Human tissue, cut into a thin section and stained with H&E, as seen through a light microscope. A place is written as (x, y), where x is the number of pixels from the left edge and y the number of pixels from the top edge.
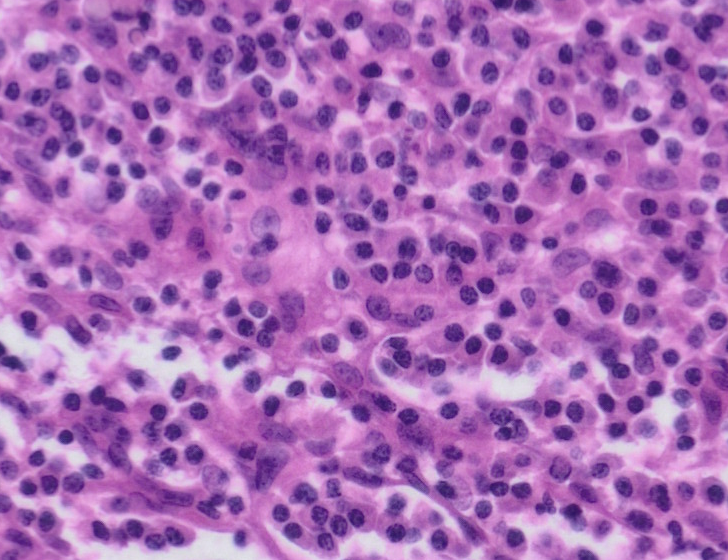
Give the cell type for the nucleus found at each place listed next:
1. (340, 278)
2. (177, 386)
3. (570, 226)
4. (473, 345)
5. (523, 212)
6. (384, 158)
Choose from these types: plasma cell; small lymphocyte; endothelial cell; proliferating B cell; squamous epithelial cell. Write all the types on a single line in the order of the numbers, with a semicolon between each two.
squamous epithelial cell; plasma cell; squamous epithelial cell; plasma cell; plasma cell; plasma cell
